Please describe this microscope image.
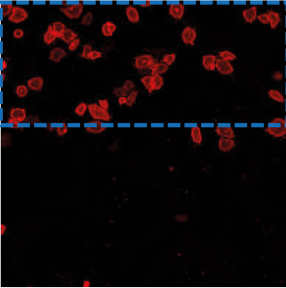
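Inside the upper dashed blue box many small cells light up as red rings, each outlining a rounded to slightly irregular cell body. The labelled cells are scattered singly and in small loose groups.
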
